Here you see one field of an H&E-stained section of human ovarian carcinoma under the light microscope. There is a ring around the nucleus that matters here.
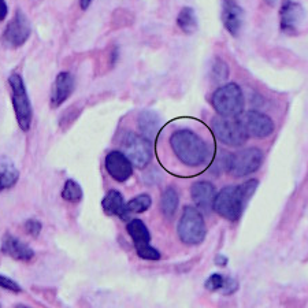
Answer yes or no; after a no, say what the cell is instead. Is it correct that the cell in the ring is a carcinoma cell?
Yes.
